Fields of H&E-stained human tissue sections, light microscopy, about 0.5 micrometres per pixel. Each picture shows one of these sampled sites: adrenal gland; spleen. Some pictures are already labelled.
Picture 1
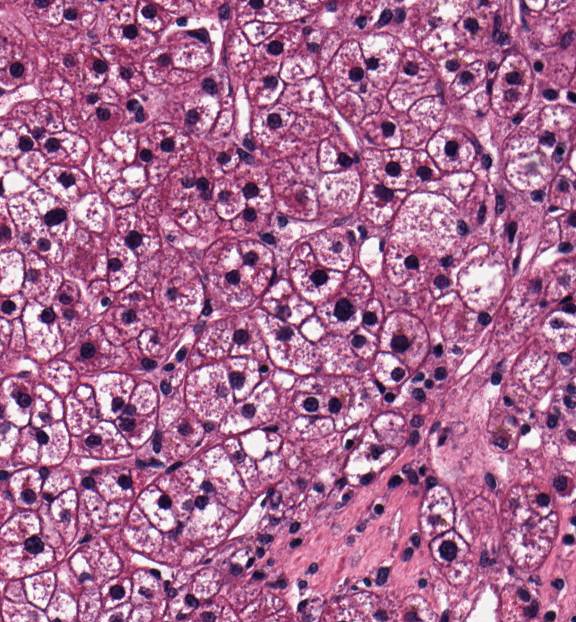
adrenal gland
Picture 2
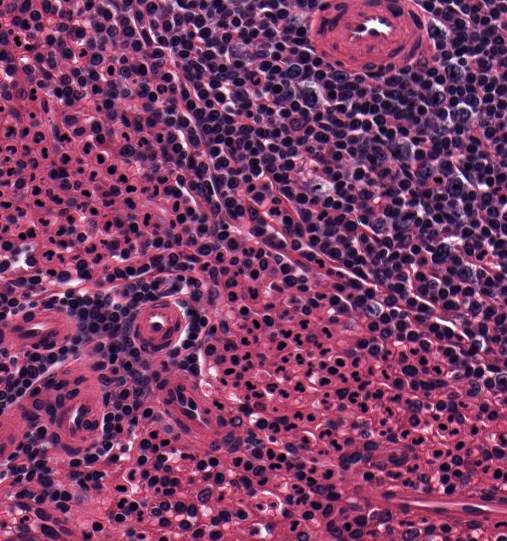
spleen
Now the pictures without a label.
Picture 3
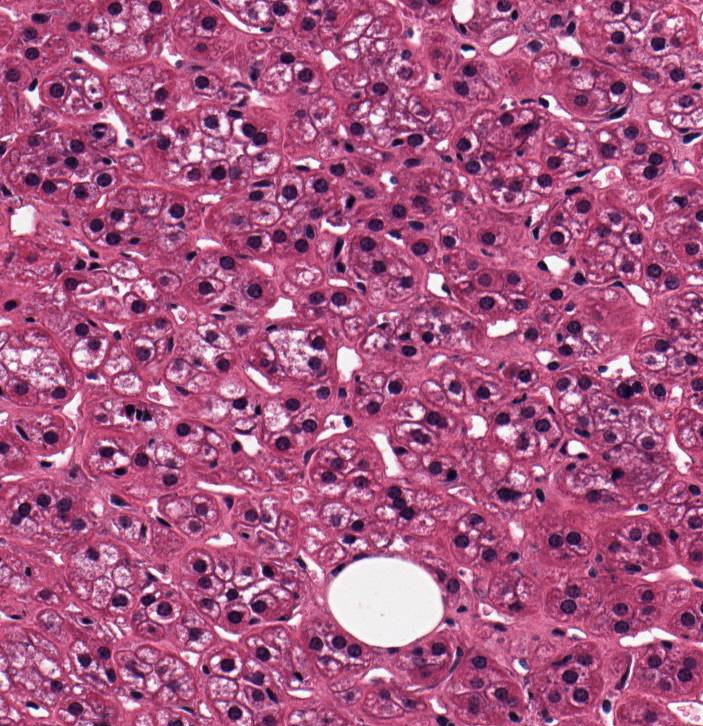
adrenal gland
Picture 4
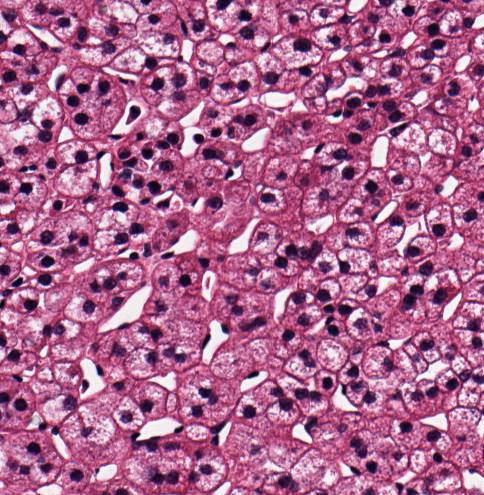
adrenal gland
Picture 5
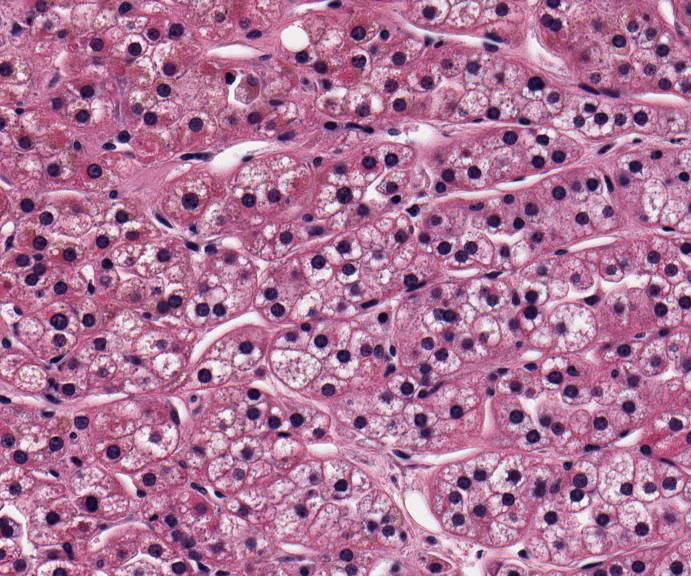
adrenal gland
